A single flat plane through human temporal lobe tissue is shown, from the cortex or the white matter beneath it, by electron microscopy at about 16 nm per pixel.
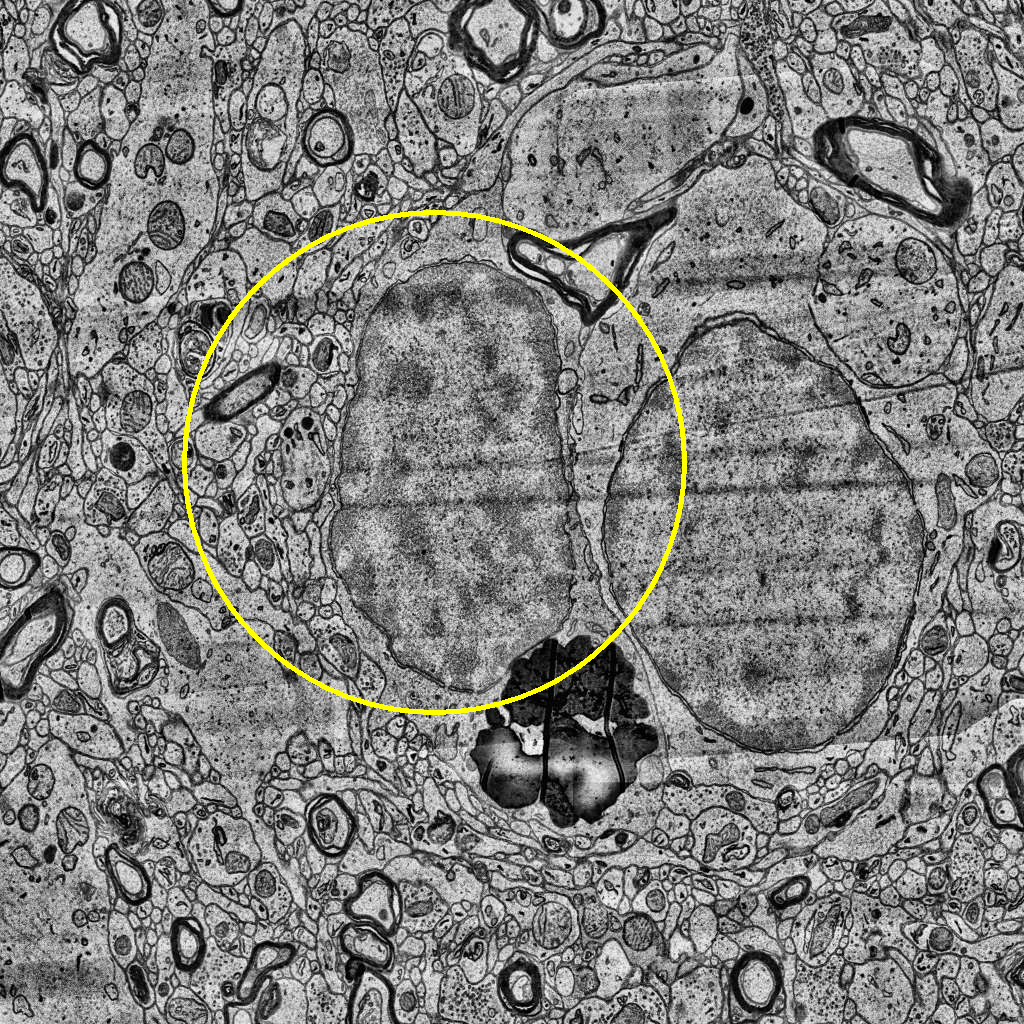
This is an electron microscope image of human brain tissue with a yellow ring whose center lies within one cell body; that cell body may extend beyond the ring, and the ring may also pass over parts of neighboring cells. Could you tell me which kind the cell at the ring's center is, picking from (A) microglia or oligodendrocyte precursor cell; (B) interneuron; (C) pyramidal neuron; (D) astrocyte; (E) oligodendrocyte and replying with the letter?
E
